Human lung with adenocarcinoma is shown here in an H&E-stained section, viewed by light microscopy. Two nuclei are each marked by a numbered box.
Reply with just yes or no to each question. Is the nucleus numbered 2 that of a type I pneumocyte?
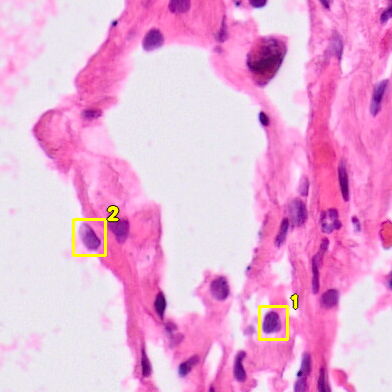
yes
